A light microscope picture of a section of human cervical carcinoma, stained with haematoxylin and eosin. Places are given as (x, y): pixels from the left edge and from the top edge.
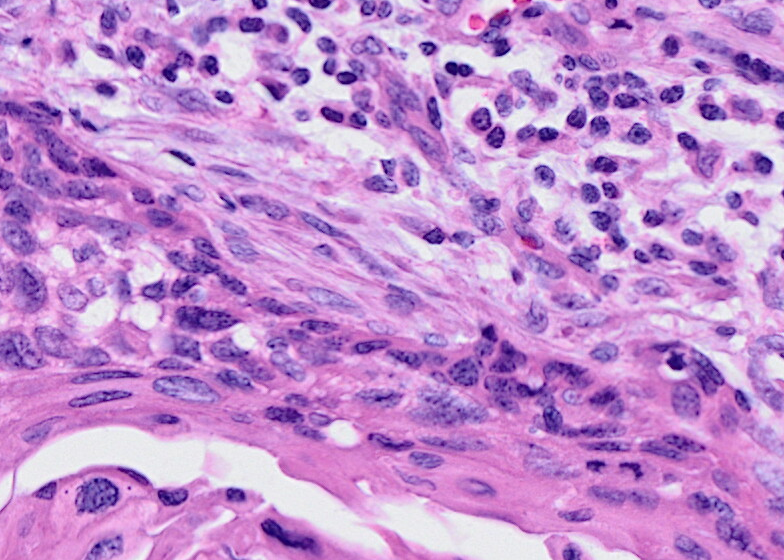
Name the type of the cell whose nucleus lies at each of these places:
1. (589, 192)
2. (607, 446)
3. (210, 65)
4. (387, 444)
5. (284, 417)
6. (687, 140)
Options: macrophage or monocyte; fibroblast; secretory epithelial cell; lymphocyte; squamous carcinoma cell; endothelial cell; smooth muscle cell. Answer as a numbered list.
1. lymphocyte
2. squamous carcinoma cell
3. lymphocyte
4. squamous carcinoma cell
5. squamous carcinoma cell
6. lymphocyte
